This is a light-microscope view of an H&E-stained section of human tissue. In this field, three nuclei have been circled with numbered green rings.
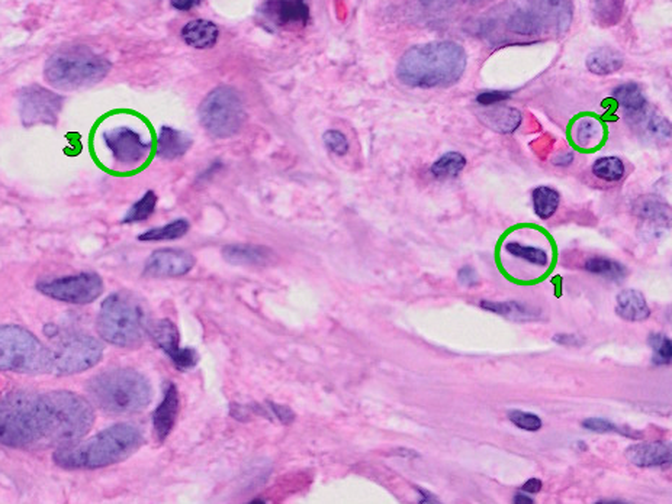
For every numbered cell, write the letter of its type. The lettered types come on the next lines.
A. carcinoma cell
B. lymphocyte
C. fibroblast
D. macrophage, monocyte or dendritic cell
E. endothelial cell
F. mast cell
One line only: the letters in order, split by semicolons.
B; E; A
